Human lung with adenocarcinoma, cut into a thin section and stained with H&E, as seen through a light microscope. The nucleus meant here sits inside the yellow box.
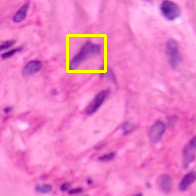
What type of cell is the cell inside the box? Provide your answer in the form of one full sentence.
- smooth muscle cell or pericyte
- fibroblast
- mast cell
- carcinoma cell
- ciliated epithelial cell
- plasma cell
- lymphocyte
So far as cell type goes, the cell inside the box is a smooth muscle cell or pericyte.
